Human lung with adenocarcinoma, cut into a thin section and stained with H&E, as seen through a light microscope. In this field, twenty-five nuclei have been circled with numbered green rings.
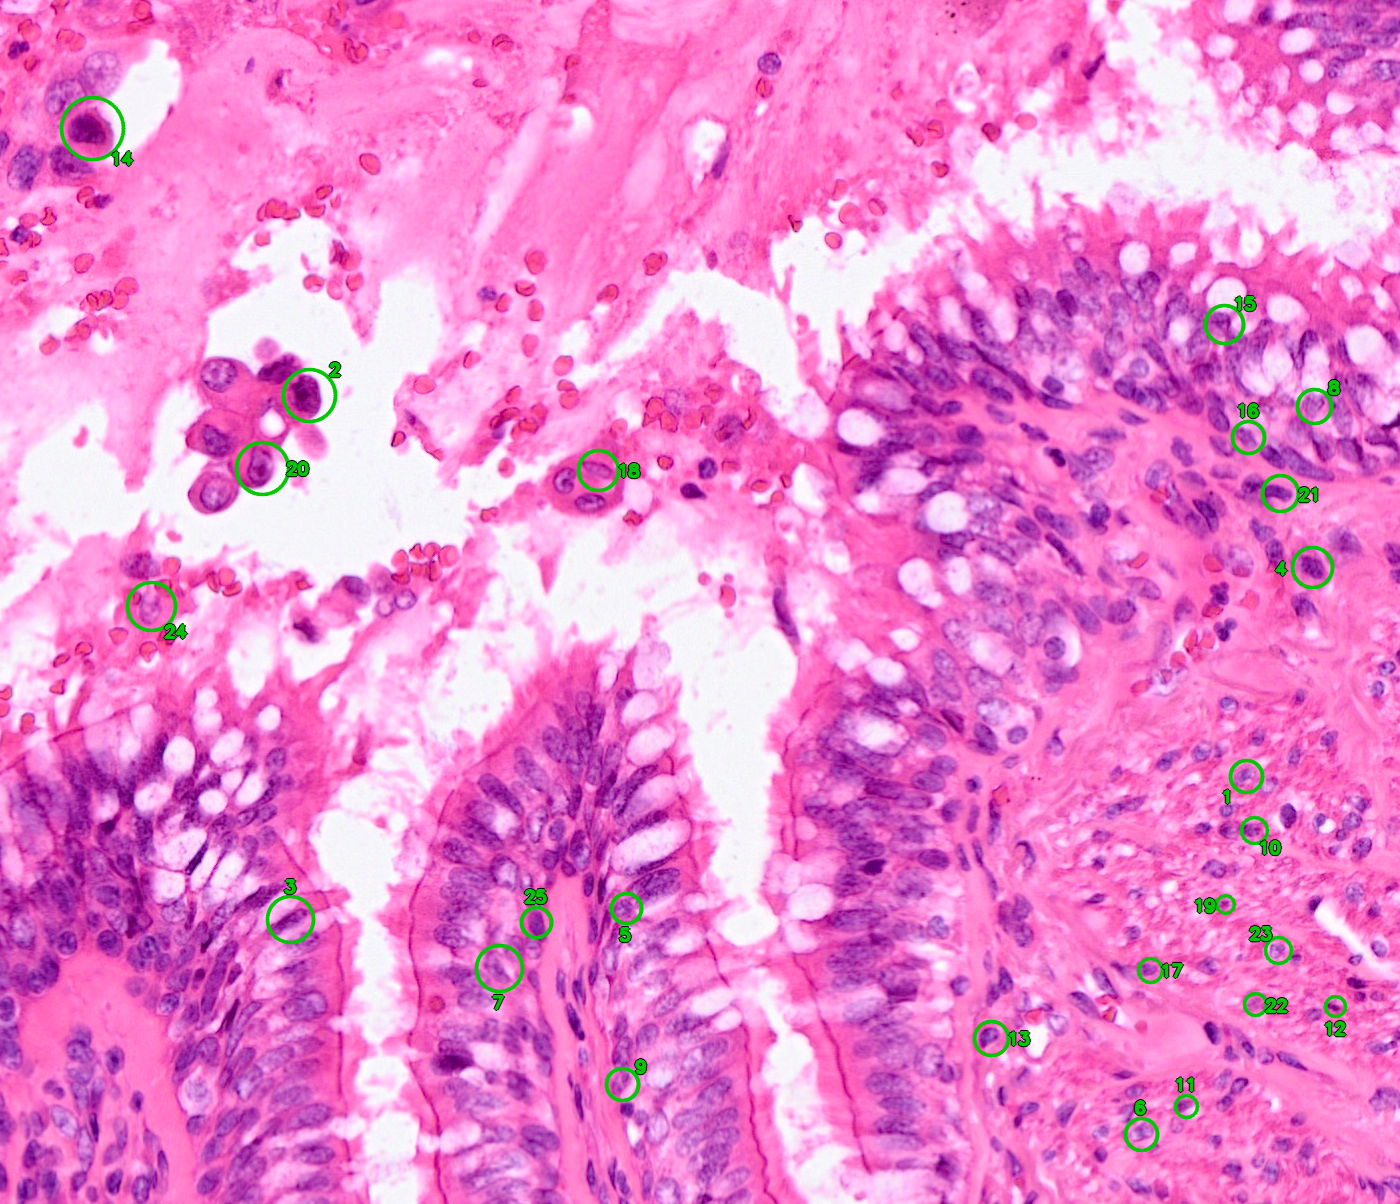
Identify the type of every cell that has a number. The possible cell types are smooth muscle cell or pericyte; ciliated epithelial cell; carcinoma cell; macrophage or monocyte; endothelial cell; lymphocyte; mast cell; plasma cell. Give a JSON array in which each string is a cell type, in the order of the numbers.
["smooth muscle cell or pericyte", "carcinoma cell", "ciliated epithelial cell", "plasma cell", "ciliated epithelial cell", "smooth muscle cell or pericyte", "ciliated epithelial cell", "ciliated epithelial cell", "ciliated epithelial cell", "smooth muscle cell or pericyte", "smooth muscle cell or pericyte", "smooth muscle cell or pericyte", "mast cell", "carcinoma cell", "ciliated epithelial cell", "ciliated epithelial cell", "smooth muscle cell or pericyte", "macrophage or monocyte", "smooth muscle cell or pericyte", "carcinoma cell", "lymphocyte", "smooth muscle cell or pericyte", "smooth muscle cell or pericyte", "macrophage or monocyte", "ciliated epithelial cell"]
